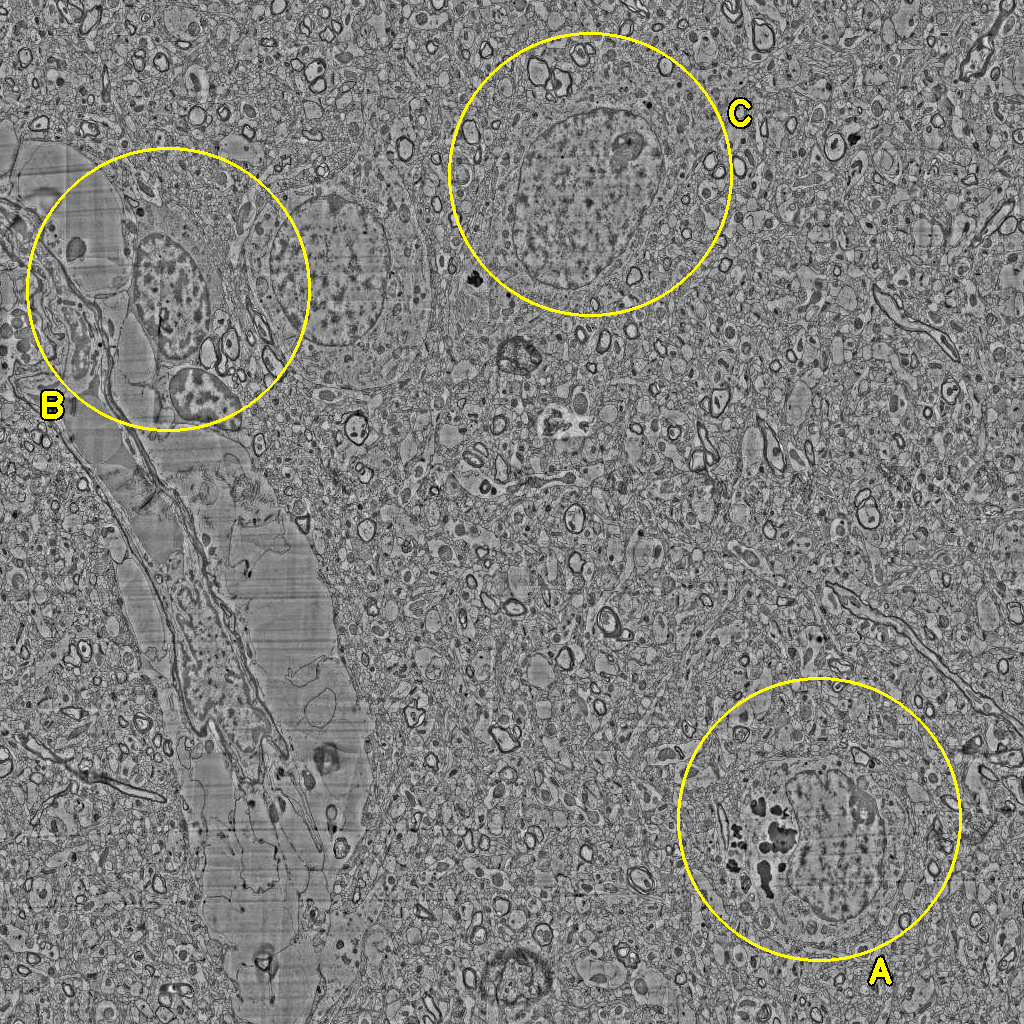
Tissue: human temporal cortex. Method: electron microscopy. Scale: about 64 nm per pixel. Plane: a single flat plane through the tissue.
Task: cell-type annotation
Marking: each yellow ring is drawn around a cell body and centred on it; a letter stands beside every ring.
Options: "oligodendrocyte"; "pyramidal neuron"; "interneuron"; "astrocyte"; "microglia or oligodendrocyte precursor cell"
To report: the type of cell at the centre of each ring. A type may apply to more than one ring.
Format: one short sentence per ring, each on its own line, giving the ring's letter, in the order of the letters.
Ring A is centred on an interneuron.
Ring B is centred on an oligodendrocyte.
Ring C is centred on an interneuron.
